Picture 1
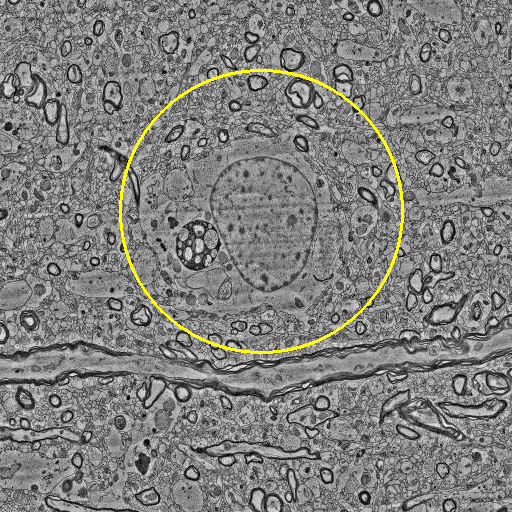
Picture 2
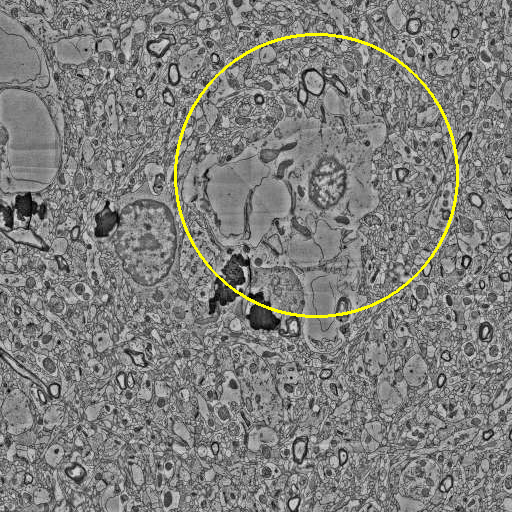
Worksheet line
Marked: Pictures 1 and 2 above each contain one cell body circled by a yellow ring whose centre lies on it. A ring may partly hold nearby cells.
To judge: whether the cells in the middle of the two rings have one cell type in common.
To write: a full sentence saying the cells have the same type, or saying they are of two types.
The cells in the middle of the rings in Picture 1 and Picture 2 have the same type.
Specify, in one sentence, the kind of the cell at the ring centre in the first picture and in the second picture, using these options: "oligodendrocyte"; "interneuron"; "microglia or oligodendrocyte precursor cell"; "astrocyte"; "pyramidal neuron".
Each of the two rings is centred on an astrocyte.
